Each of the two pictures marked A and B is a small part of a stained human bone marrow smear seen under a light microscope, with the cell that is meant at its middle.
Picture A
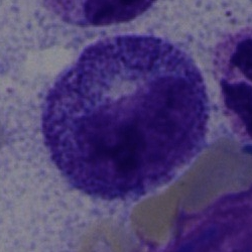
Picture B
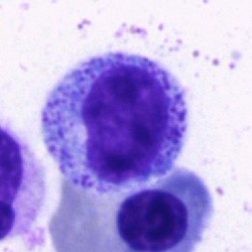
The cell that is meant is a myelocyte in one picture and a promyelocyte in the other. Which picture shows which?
A: promyelocyte
B: myelocyte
